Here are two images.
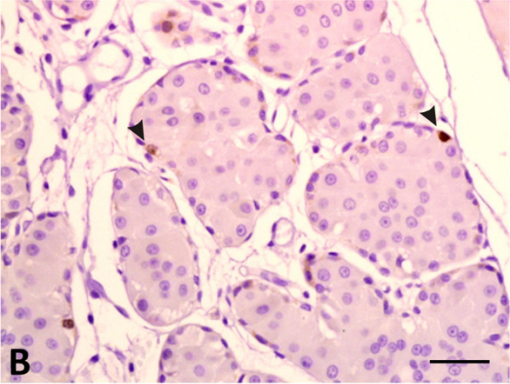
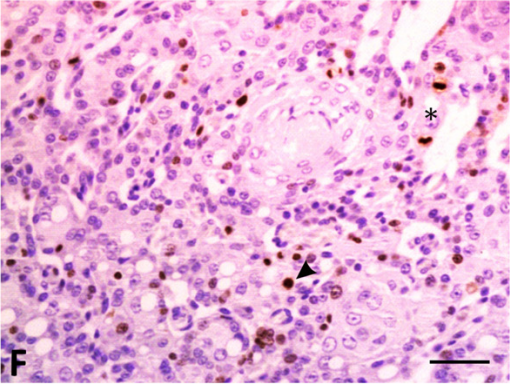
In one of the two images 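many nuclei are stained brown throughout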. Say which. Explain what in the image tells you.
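Second image: numerous brown nuclei scattered across the field. First image: only a few isolated brown nuclei among many blue ones. So: the second image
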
